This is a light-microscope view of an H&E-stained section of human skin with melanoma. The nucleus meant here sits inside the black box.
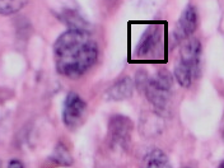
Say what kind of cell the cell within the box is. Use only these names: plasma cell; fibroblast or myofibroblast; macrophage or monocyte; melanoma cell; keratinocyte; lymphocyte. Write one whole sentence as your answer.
Within the stained tissue, the cell within the box is a melanoma cell.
